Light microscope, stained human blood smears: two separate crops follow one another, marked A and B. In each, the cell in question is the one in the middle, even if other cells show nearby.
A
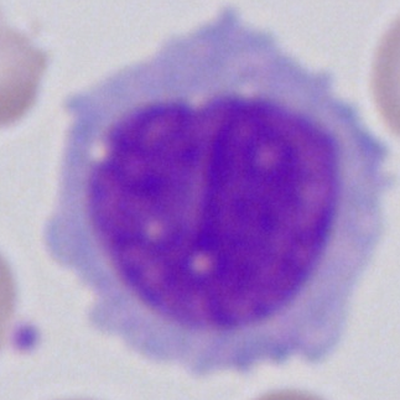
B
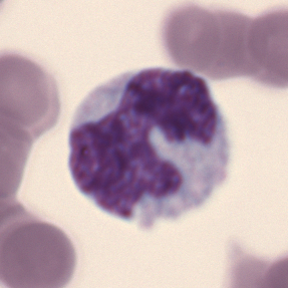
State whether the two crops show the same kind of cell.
yes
